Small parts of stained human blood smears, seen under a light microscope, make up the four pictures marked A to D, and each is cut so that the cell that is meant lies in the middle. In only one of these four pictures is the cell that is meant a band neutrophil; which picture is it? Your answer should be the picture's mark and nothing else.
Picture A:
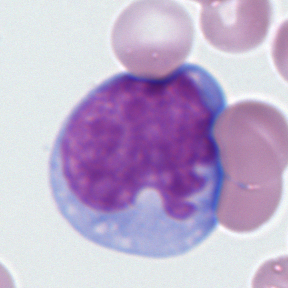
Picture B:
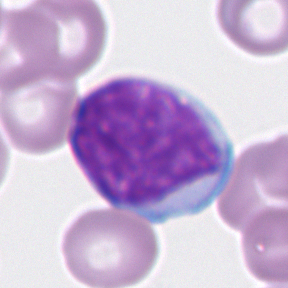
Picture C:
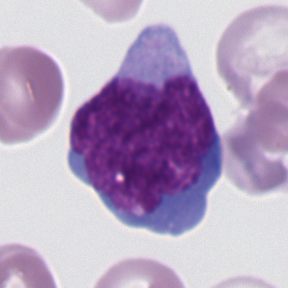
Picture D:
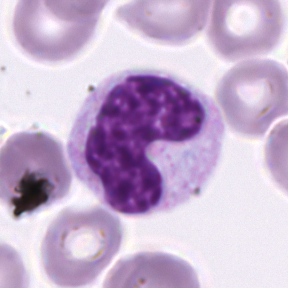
D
